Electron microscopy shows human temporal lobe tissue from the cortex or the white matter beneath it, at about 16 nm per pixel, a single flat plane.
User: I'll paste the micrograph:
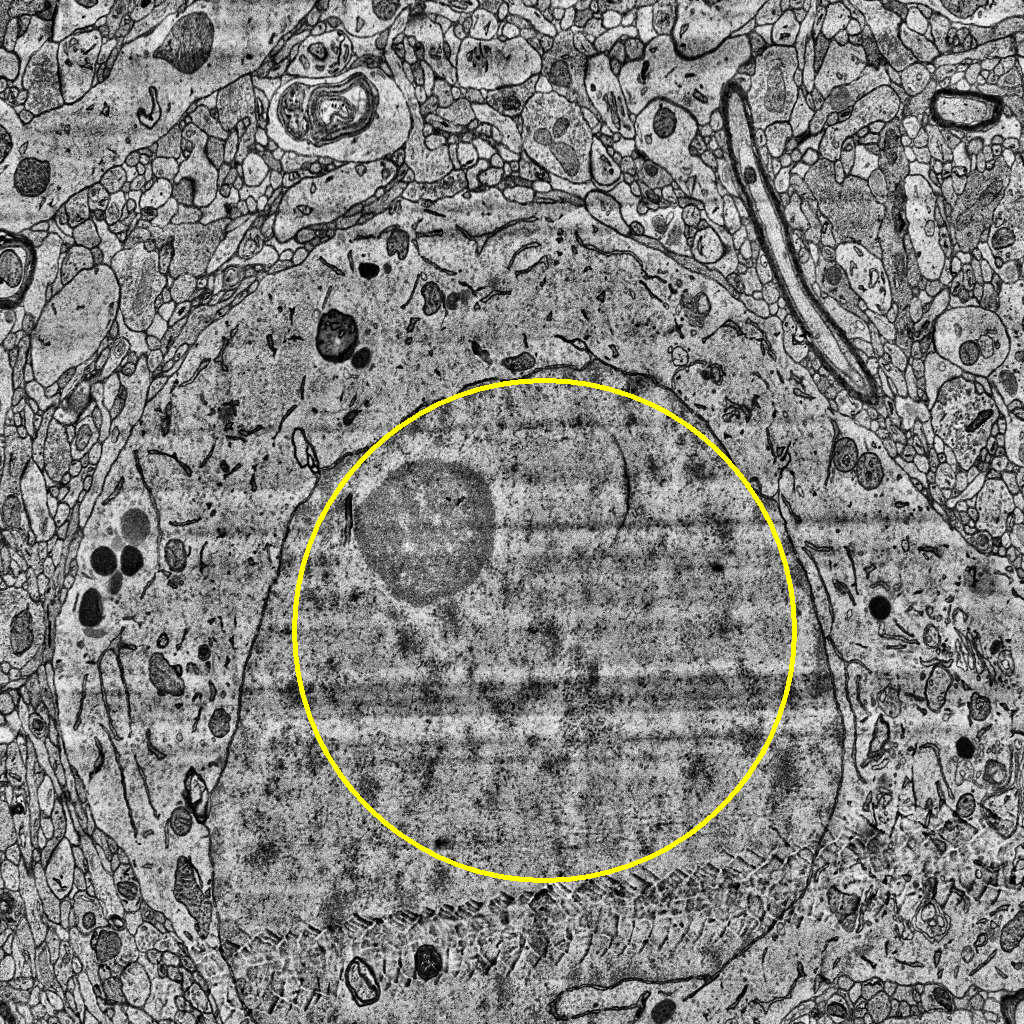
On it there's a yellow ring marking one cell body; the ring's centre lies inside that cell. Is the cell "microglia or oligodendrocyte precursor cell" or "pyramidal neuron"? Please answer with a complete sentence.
The cell at the centre of the yellow ring is a pyramidal neuron.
